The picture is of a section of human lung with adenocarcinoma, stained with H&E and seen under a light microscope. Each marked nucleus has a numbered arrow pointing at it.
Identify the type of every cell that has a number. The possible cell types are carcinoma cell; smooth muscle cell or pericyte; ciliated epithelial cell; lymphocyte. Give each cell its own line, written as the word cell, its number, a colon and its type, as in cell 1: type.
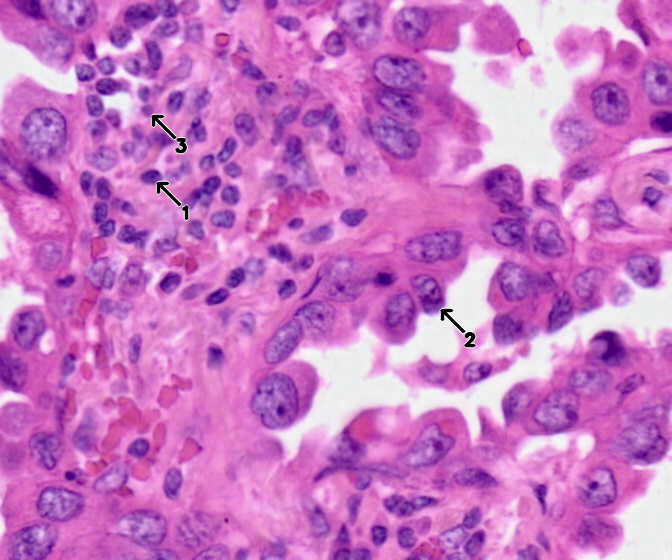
cell 1: lymphocyte
cell 2: carcinoma cell
cell 3: lymphocyte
